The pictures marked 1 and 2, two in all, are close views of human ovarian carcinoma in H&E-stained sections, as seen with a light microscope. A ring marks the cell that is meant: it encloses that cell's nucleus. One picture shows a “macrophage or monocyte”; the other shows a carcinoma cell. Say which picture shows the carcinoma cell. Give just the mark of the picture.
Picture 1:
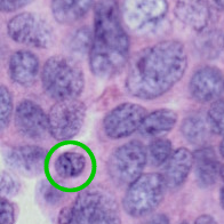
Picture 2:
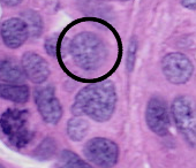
2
